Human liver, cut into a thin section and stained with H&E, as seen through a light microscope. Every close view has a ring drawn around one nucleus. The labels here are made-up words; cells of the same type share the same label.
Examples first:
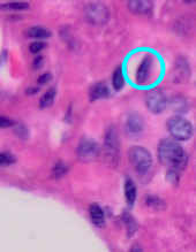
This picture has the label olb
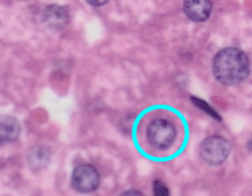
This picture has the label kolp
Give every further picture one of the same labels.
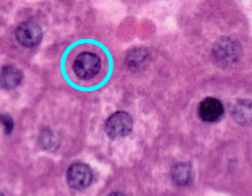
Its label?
kolp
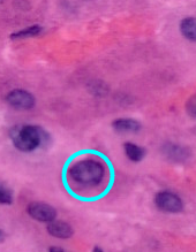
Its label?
kolp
